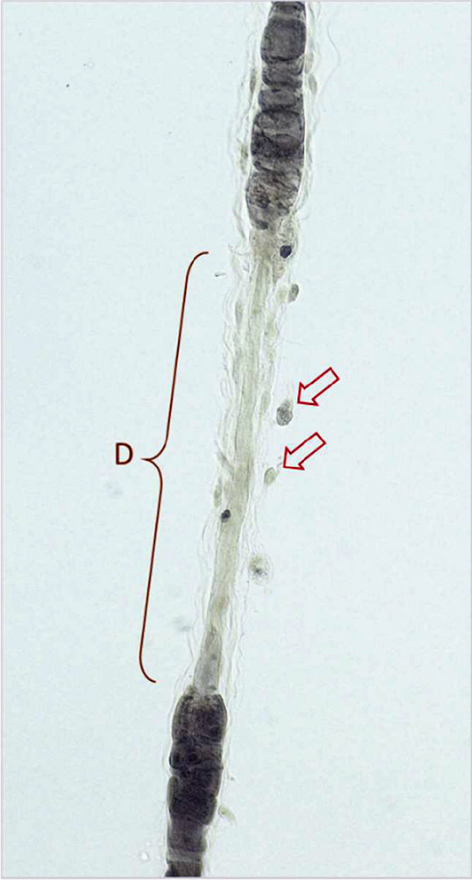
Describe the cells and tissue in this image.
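This is a single teased peripheral nerve fiber in which the dark-stained myelin is present at the top and bottom but missing over a long middle stretch. There the fiber is thin, pale and greyish, with only a faint sheath and a few small dark dots along it. Beside this bare stretch lie small round pale cells, some touching the fiber, consistent with mononuclear inflammatory cells adhering to it. The myelinated parts above and below are thick, dark and lumpy, with irregular beaded contours. Fine pale strands of loose connective tissue run along the fiber on either side.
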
